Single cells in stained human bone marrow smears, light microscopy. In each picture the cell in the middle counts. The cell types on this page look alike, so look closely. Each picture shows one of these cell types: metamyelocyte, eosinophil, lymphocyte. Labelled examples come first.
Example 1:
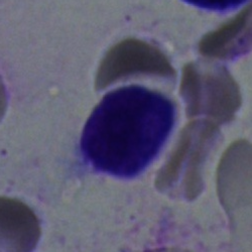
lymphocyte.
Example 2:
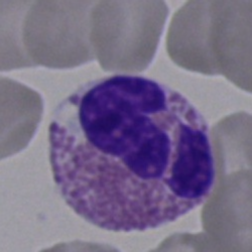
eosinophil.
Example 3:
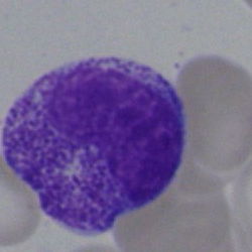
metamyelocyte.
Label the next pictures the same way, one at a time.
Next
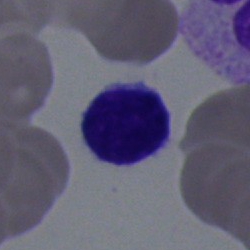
lymphocyte.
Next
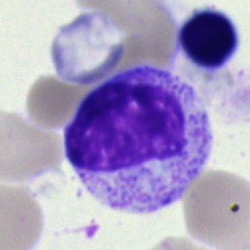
metamyelocyte.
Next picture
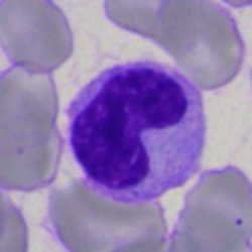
metamyelocyte.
